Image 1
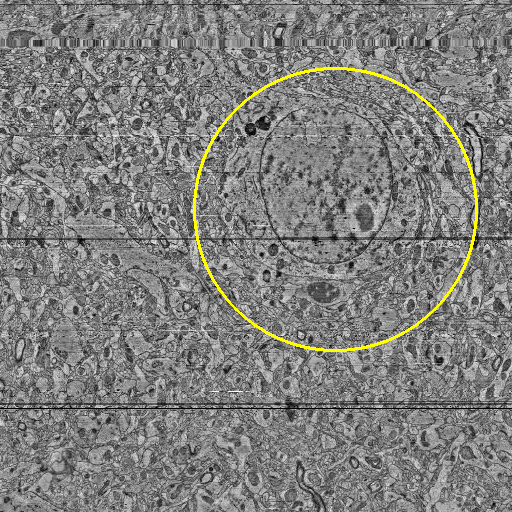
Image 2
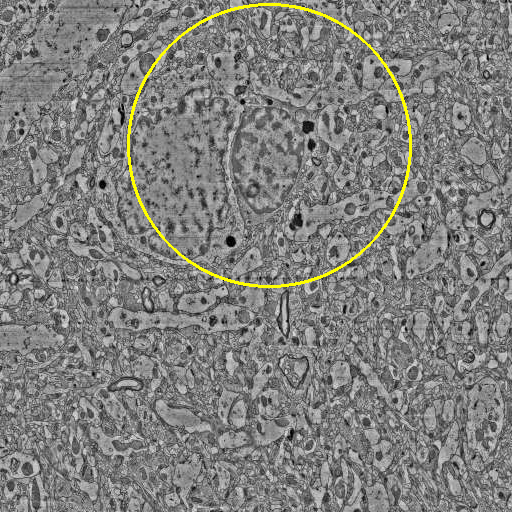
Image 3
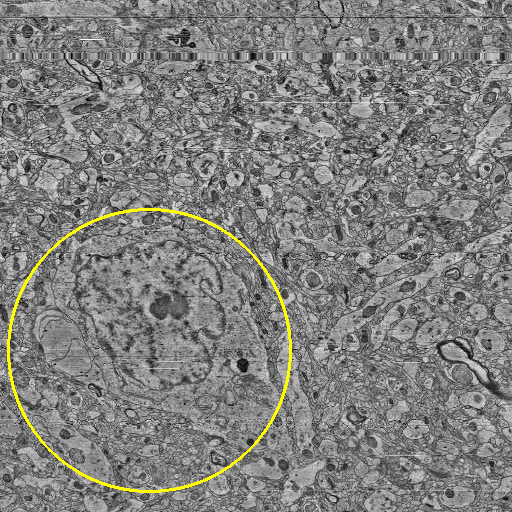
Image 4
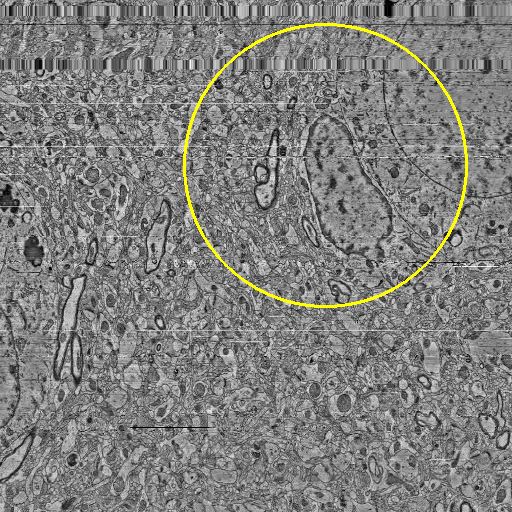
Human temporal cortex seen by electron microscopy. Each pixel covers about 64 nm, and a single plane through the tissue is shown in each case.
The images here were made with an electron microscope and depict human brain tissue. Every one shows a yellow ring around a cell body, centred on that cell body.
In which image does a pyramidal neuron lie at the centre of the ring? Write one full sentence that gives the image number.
My answer is image 1, where the asked-for cell sits at the centre of the ring.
